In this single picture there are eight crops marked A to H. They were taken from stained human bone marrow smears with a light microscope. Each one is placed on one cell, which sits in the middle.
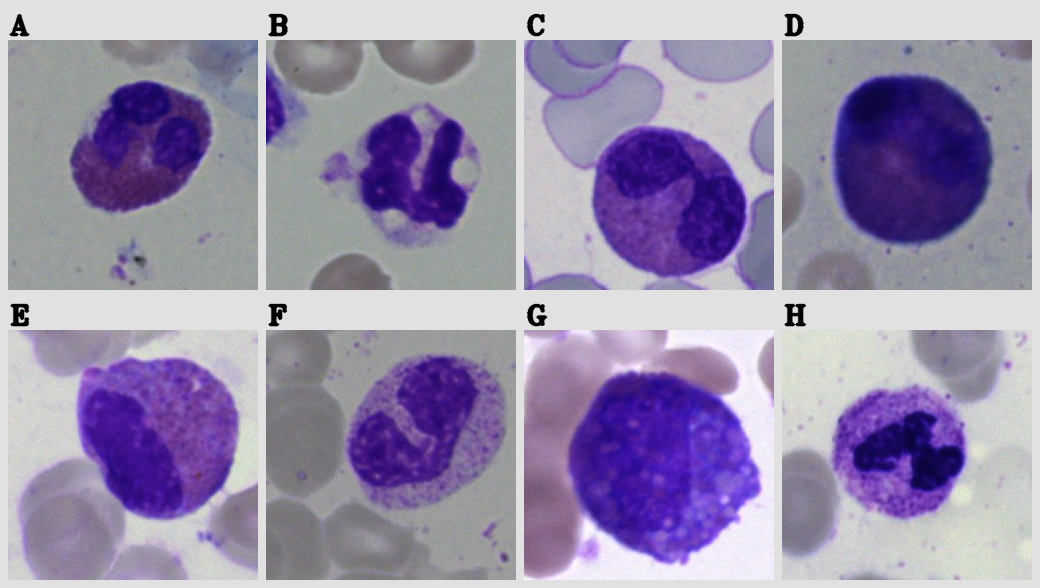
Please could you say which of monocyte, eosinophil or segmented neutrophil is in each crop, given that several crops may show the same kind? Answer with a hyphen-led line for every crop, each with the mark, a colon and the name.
- A: eosinophil
- B: segmented neutrophil
- C: eosinophil
- D: eosinophil
- E: eosinophil
- F: segmented neutrophil
- G: eosinophil
- H: segmented neutrophil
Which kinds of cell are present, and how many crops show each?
eosinophil: 5
segmented neutrophil: 3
